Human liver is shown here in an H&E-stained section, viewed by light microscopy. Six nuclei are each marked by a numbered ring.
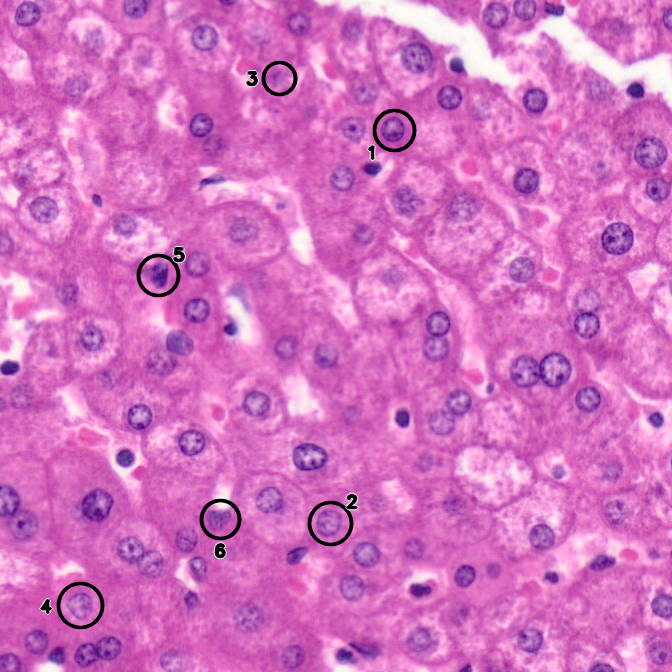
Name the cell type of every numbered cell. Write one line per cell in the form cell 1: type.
cell 1: hepatocyte
cell 2: hepatocyte
cell 3: hepatocyte
cell 4: hepatocyte
cell 5: fibroblast or stellate cell
cell 6: endothelial cell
